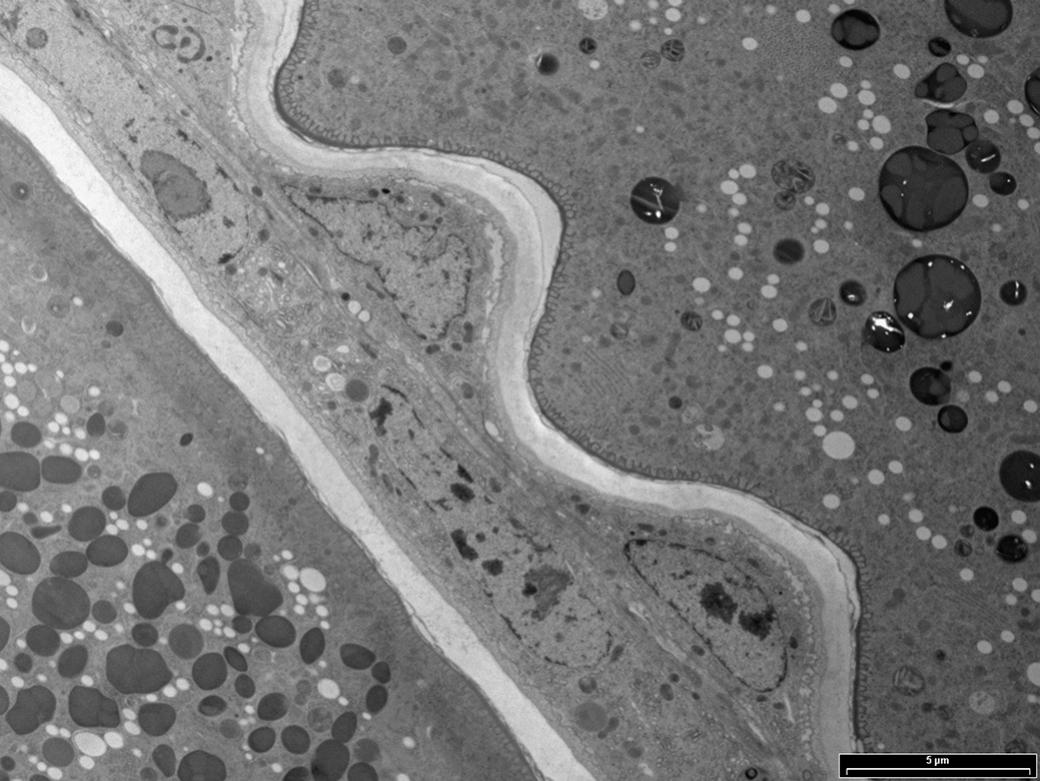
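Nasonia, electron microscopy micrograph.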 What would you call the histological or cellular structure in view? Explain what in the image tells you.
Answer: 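Pale, electron-lucent bands lie between the central cell layer and each large cell. The band on the right follows the wavy, microvillous surface of the right cell.
Conclusion: developing eggshell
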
